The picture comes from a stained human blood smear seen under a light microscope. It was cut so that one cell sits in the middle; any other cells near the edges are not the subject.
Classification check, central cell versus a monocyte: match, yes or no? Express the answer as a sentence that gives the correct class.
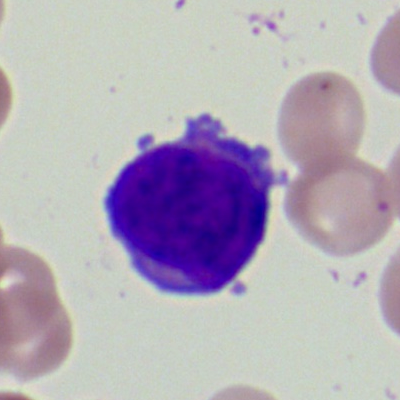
No, the cell at the centre of the crop is a myeloblast and not a monocyte.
